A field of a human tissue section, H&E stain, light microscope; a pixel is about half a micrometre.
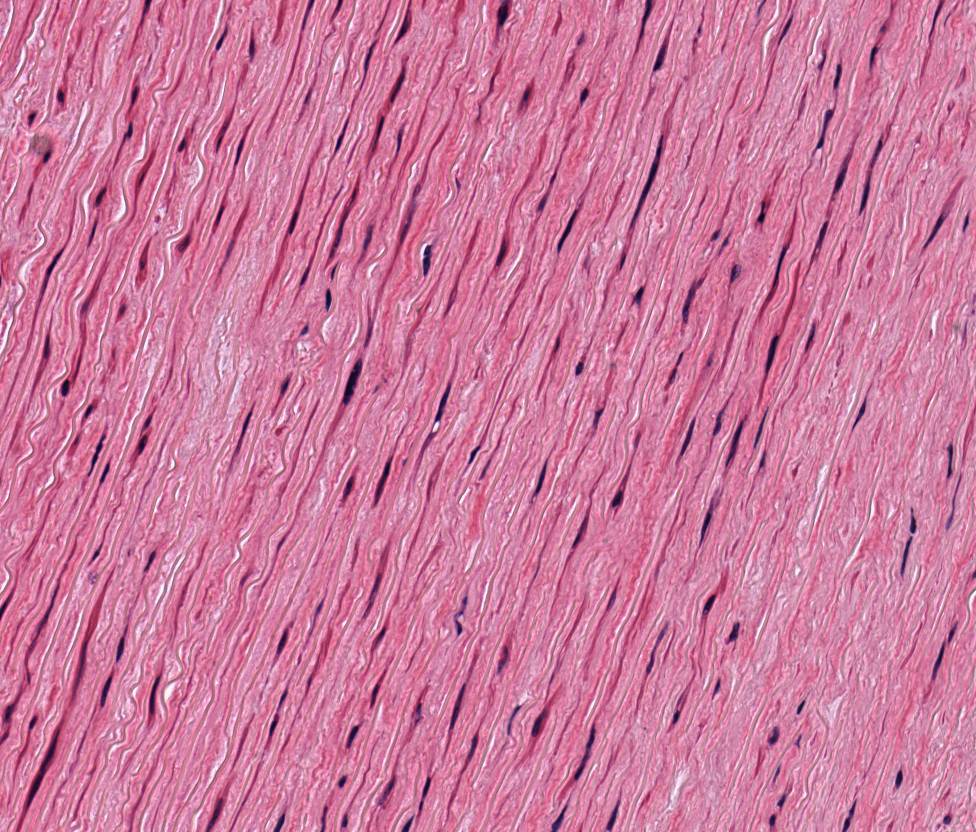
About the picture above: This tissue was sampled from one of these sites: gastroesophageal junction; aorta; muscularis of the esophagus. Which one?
aorta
